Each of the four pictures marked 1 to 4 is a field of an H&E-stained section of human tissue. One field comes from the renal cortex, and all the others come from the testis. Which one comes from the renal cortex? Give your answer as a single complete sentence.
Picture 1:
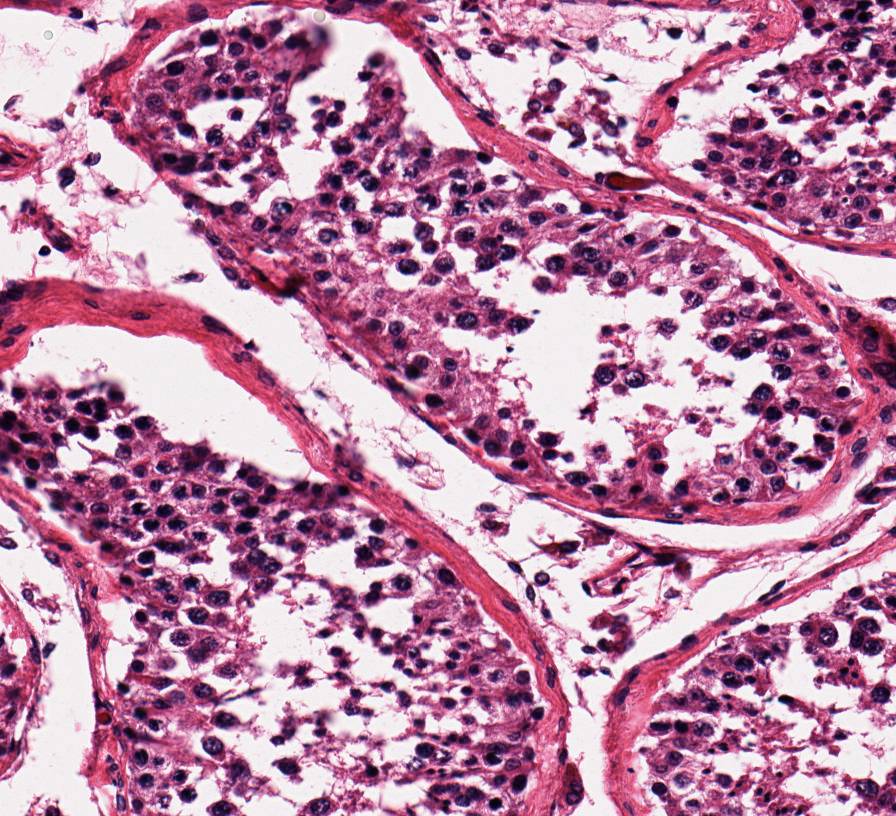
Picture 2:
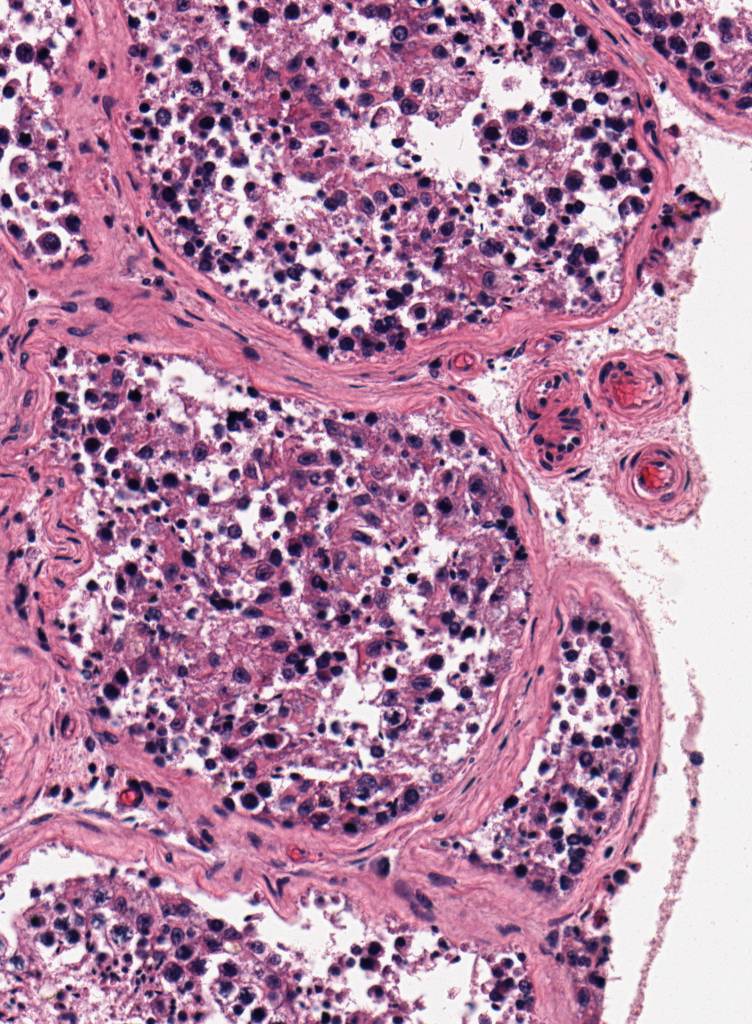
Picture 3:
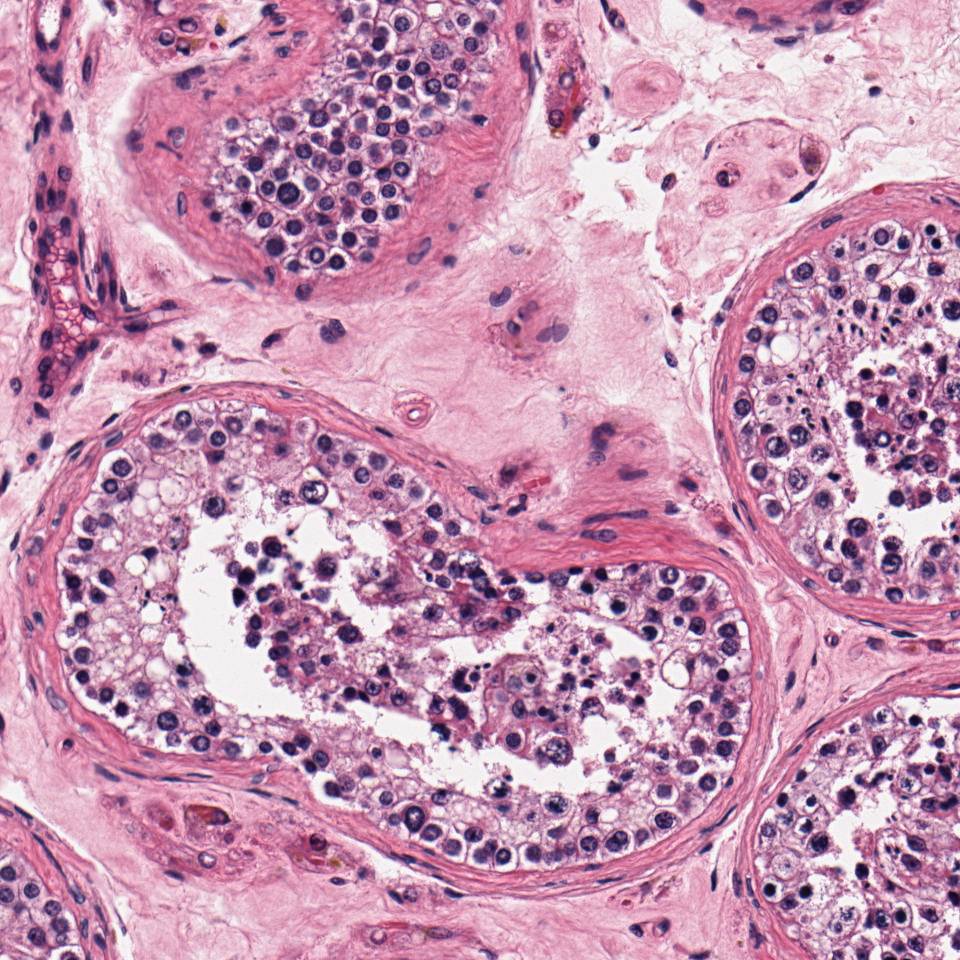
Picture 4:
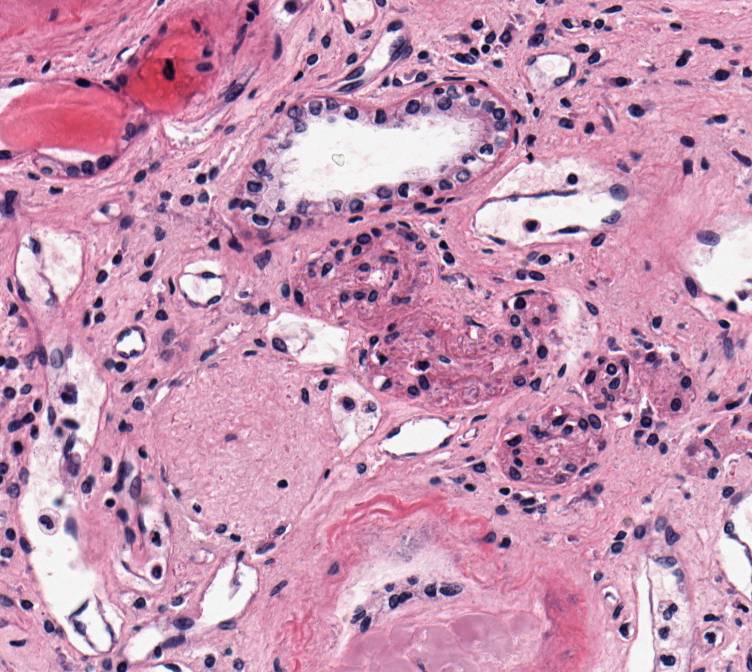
The one that comes from the renal cortex is picture 4.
